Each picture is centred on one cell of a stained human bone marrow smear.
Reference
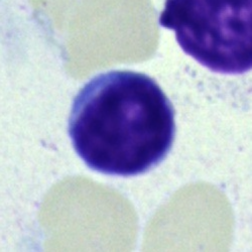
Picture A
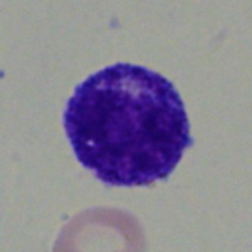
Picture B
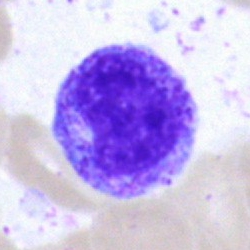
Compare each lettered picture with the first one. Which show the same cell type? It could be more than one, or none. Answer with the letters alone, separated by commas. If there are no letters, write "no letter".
no letter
